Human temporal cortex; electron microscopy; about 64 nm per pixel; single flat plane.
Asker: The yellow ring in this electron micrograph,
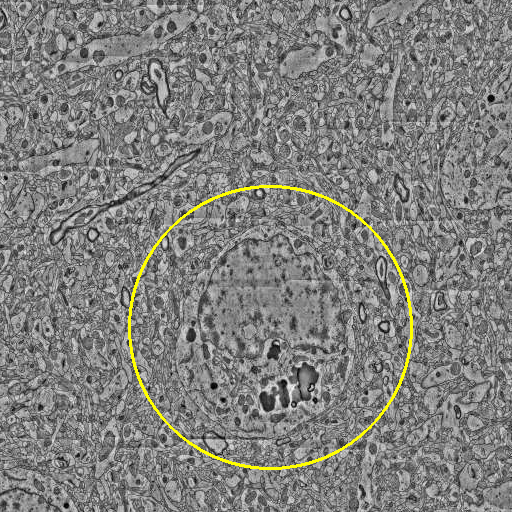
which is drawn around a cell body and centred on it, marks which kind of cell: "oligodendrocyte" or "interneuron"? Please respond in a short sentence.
The marked cell is an interneuron.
